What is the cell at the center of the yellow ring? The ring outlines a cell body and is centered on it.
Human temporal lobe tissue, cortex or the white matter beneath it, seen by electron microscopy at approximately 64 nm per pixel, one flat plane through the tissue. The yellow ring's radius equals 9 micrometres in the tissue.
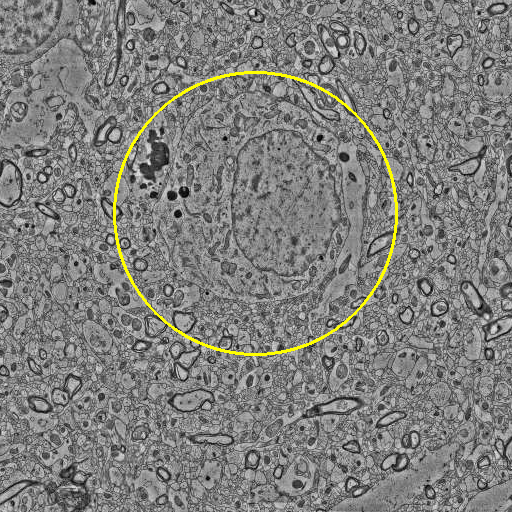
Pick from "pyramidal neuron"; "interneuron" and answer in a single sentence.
The yellow ring is centered on an interneuron.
